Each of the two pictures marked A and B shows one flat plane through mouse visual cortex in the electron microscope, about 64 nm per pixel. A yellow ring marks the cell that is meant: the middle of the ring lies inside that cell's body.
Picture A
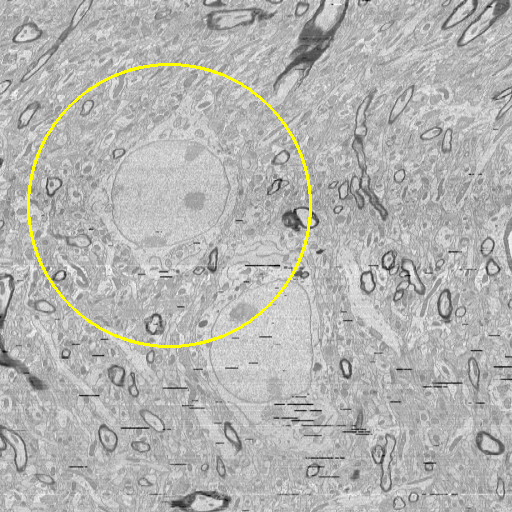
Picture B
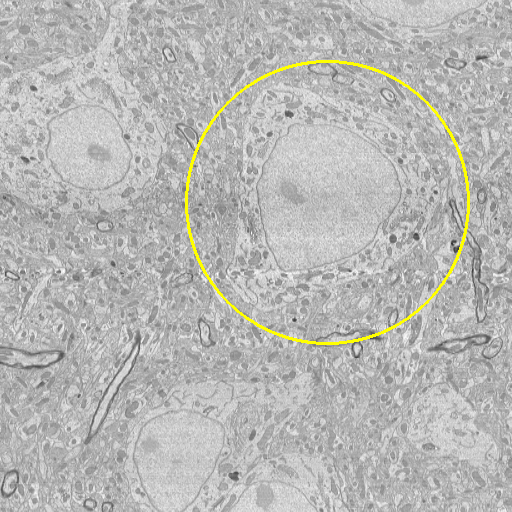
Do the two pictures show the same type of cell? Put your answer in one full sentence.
No, the types are not the same, since picture A shows an excitatory neuron and picture B an inhibitory neuron.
